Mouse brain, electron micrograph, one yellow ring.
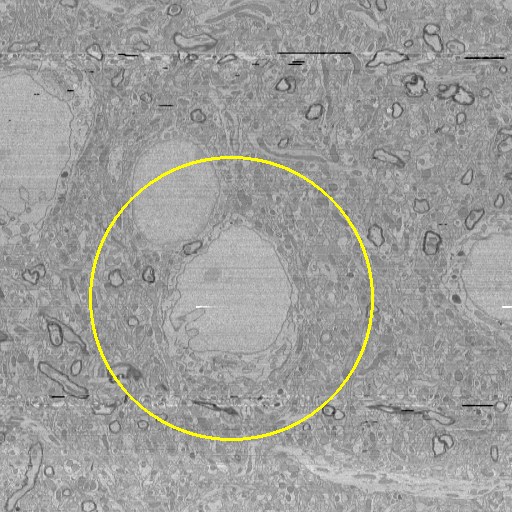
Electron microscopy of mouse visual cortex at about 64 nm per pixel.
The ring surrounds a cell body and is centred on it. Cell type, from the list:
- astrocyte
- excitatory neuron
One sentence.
The yellow ring circles an excitatory neuron.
